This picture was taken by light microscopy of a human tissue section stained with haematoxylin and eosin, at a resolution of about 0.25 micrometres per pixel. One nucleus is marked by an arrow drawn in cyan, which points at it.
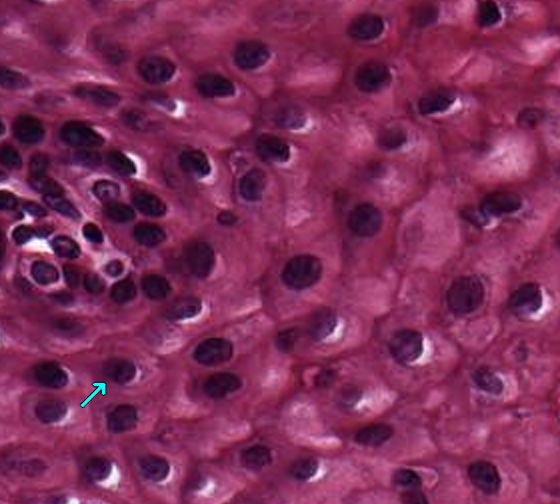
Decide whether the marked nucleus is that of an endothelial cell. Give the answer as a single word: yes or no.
no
